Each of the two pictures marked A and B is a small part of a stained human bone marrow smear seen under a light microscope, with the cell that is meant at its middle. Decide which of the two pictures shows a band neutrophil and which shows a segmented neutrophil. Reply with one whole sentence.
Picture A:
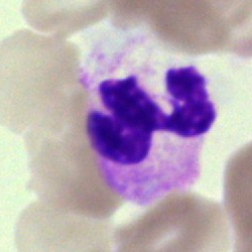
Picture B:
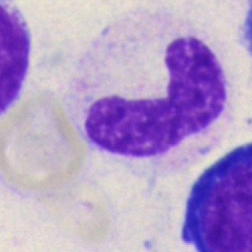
In picture A the cell is a segmented neutrophil; in picture B, a band neutrophil.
